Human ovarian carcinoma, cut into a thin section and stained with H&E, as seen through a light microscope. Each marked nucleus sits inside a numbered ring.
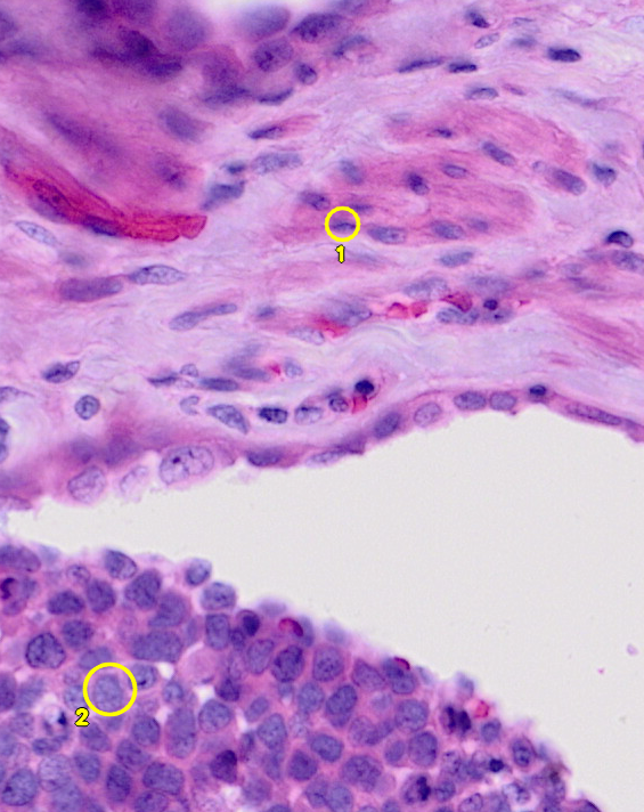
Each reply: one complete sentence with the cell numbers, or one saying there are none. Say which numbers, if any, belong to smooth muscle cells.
Cell 1 is a smooth muscle cell, whereas each of the other numbered cells is not.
